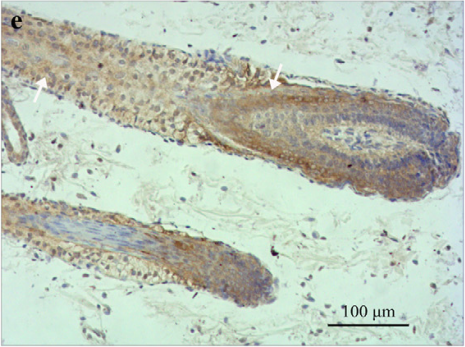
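Longitudinally cut hair follicles run through loose dermis, one ending in a bulb that caps a paler core. Brown staining lies in the cytoplasm of the layered epithelial cells forming the outer sheath and in the bulb, while the central cells are more bluish.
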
